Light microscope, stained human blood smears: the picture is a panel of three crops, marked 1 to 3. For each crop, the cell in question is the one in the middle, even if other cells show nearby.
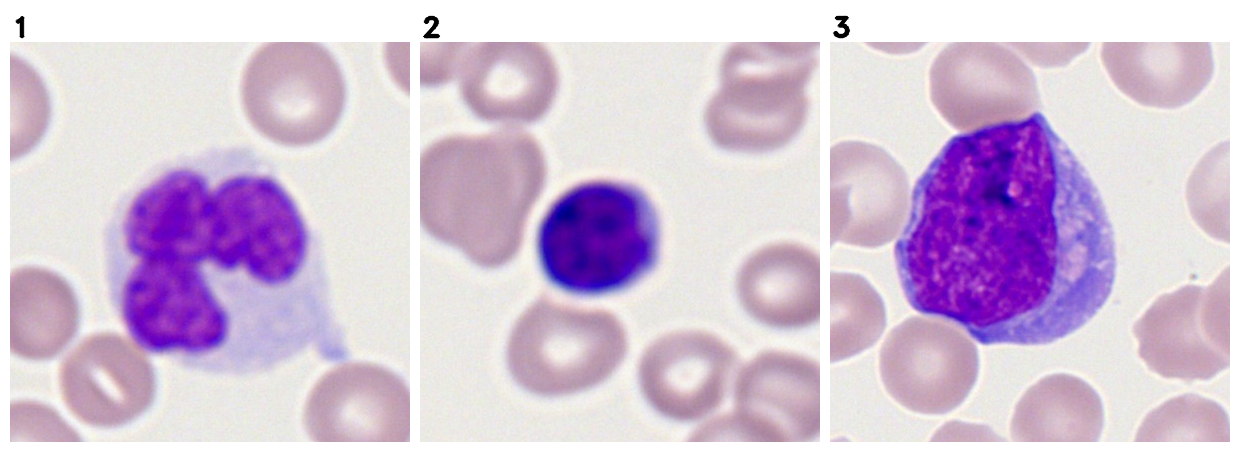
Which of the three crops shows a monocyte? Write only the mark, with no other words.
1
